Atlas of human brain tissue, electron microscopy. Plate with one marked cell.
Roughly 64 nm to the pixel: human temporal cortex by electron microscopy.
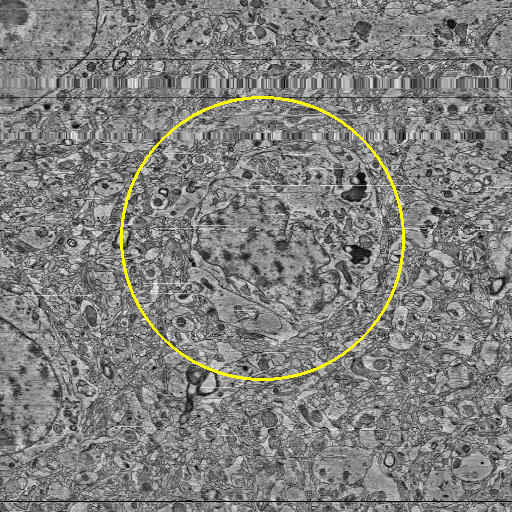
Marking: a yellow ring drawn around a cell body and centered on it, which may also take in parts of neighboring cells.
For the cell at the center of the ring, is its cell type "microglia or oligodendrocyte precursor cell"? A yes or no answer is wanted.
No, its cell type is another one.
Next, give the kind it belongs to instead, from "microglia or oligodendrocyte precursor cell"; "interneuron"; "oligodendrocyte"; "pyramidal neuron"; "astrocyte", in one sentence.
Instead, the picture shows an interneuron at the centre of the ring.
